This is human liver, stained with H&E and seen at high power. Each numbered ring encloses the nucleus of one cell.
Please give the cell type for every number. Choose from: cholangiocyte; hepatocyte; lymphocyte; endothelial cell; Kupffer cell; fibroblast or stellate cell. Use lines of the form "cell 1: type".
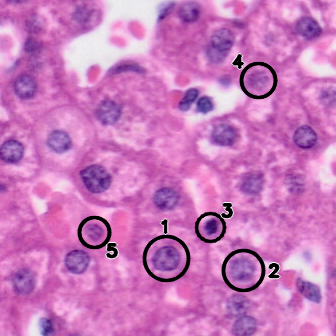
cell 1: hepatocyte
cell 2: hepatocyte
cell 3: fibroblast or stellate cell
cell 4: hepatocyte
cell 5: Kupffer cell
